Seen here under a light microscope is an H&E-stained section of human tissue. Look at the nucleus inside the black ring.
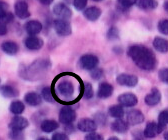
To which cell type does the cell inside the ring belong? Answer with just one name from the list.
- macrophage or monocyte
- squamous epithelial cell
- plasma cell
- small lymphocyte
small lymphocyte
